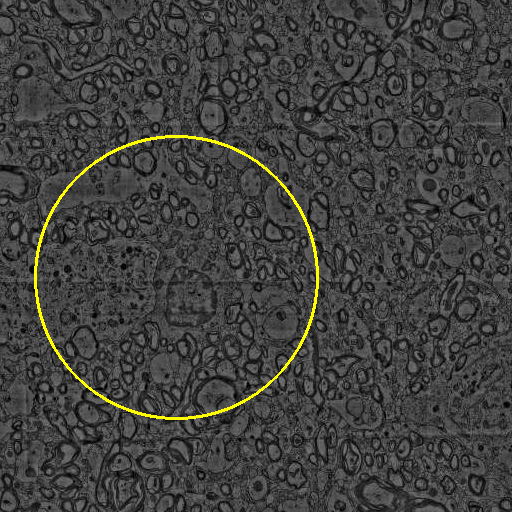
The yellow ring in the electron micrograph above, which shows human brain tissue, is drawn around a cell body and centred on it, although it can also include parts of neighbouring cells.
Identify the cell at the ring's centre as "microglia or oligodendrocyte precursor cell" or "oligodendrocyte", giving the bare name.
oligodendrocyte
